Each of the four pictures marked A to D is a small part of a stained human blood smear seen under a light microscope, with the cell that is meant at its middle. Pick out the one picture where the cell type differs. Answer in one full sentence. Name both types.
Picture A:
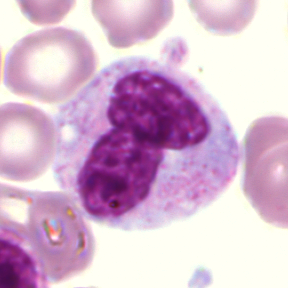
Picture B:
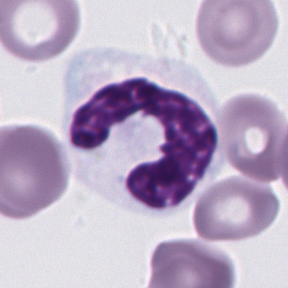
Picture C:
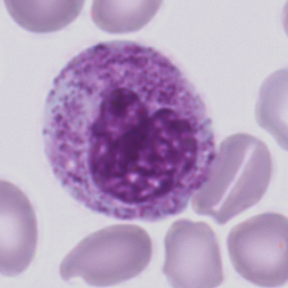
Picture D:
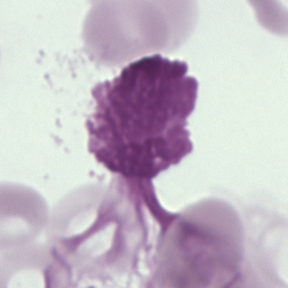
The different one is picture D; it shows a smudge cell, whereas all the others show band neutrophils.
